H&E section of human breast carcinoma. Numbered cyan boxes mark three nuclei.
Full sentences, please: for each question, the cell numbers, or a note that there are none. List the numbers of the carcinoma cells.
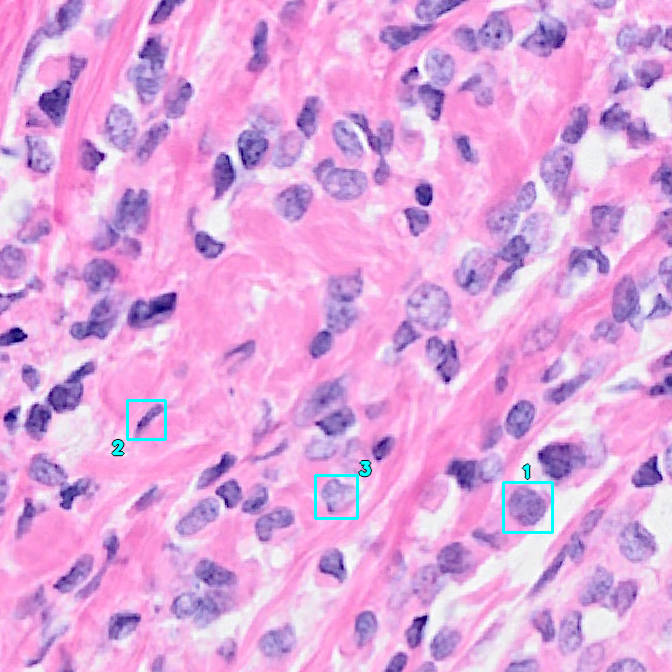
The cells numbered 1 and 3 are of the kind known as carcinoma cells.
